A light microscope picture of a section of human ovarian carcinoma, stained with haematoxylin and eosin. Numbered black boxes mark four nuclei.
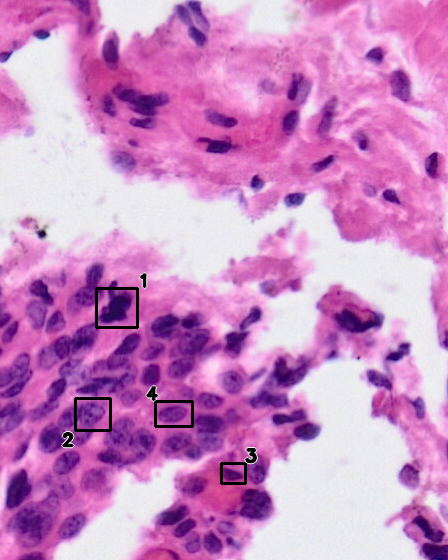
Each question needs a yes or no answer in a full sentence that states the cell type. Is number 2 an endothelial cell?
No, cell 2 does not represent an endothelial cell; it represents a carcinoma cell.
